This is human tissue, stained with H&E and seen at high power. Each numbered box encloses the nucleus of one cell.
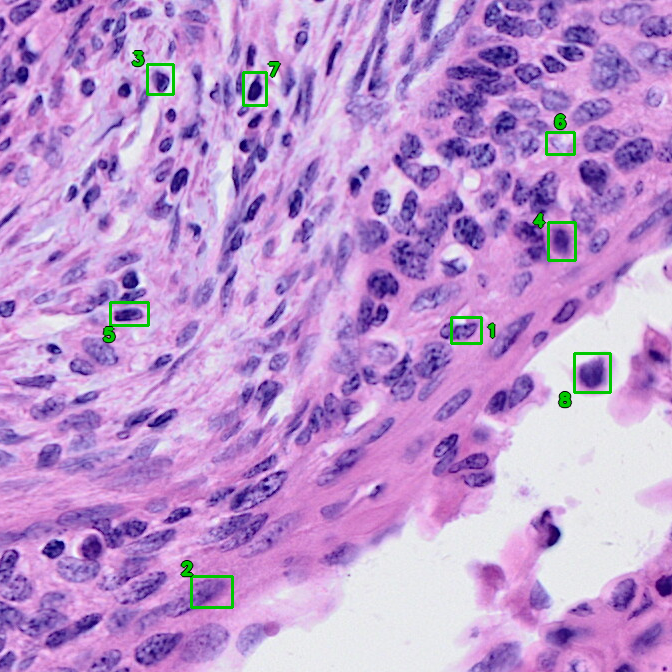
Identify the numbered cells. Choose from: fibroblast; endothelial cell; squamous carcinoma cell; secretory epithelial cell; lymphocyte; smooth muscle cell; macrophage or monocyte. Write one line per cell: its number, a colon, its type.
1: squamous carcinoma cell
2: squamous carcinoma cell
3: lymphocyte
4: squamous carcinoma cell
5: lymphocyte
6: squamous carcinoma cell
7: lymphocyte
8: squamous carcinoma cell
